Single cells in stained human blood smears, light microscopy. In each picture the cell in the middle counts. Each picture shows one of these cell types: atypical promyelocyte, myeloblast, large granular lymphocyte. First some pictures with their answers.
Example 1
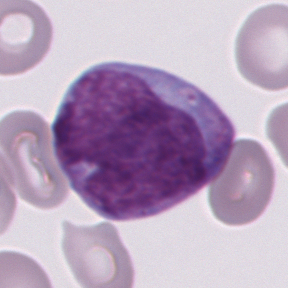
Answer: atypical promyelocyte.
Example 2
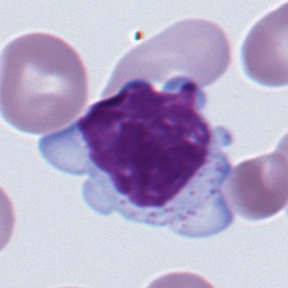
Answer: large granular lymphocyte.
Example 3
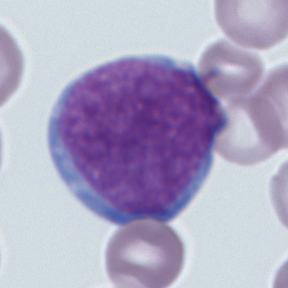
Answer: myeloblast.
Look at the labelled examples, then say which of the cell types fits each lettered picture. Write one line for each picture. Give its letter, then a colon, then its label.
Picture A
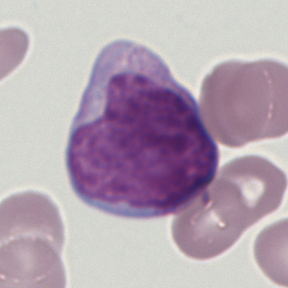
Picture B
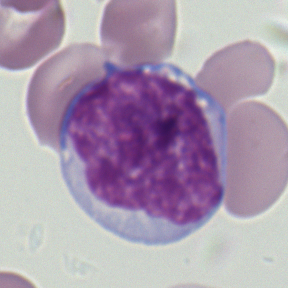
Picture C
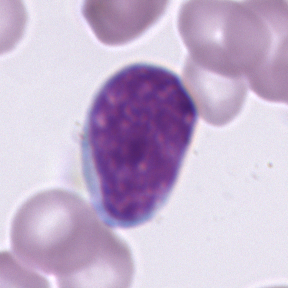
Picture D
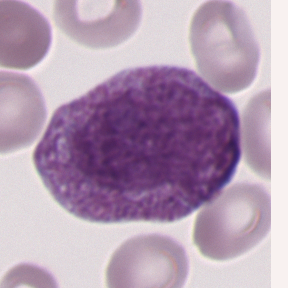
A: atypical promyelocyte.
B: myeloblast.
C: myeloblast.
D: atypical promyelocyte.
